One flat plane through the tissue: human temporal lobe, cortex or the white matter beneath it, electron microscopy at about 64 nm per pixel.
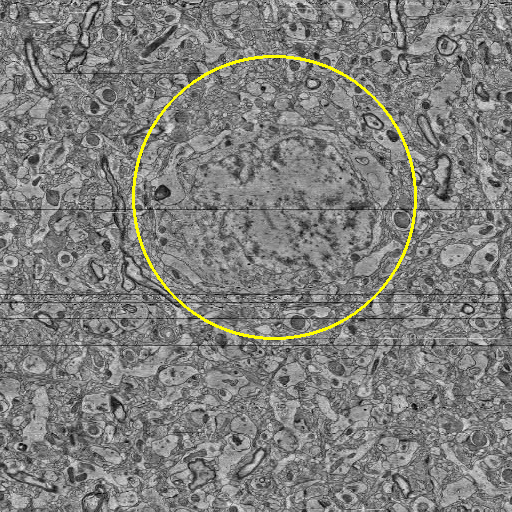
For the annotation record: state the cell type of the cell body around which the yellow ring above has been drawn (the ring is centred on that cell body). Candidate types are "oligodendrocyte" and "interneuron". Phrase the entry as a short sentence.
The ringed cell is an interneuron.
